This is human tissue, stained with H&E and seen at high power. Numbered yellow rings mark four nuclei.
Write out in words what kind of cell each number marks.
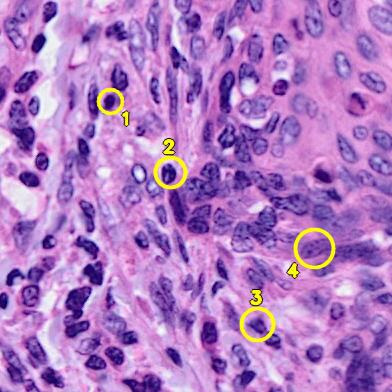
Cell 1 is a lymphocyte, cell 2 is a lymphocyte, cell 3 is a lymphocyte and cell 4 is a squamous carcinoma cell.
